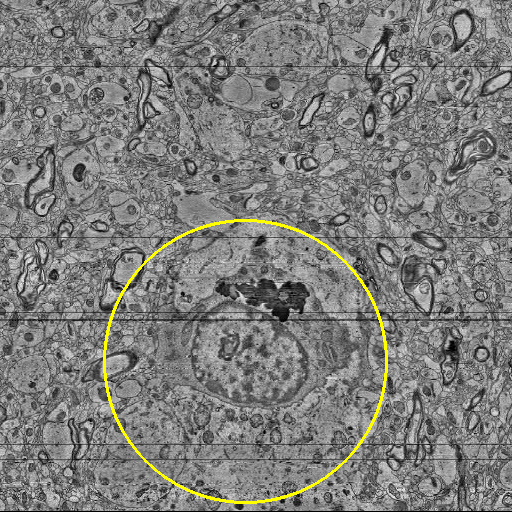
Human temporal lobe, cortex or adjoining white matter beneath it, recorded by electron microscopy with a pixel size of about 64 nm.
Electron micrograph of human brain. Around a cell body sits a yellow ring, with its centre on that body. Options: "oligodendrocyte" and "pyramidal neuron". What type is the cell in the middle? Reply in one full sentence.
The cell sitting at the centre of the yellow ring is an oligodendrocyte.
